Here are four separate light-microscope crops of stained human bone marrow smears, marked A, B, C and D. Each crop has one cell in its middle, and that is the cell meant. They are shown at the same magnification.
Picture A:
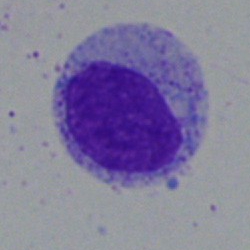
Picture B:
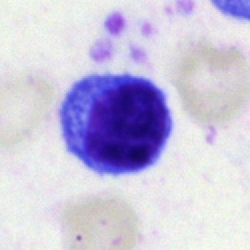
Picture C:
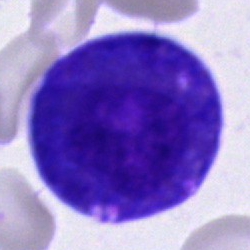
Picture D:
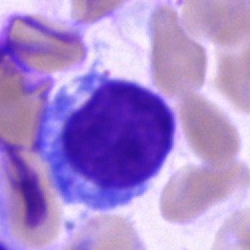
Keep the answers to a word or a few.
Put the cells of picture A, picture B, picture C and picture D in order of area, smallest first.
B, D, A, C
